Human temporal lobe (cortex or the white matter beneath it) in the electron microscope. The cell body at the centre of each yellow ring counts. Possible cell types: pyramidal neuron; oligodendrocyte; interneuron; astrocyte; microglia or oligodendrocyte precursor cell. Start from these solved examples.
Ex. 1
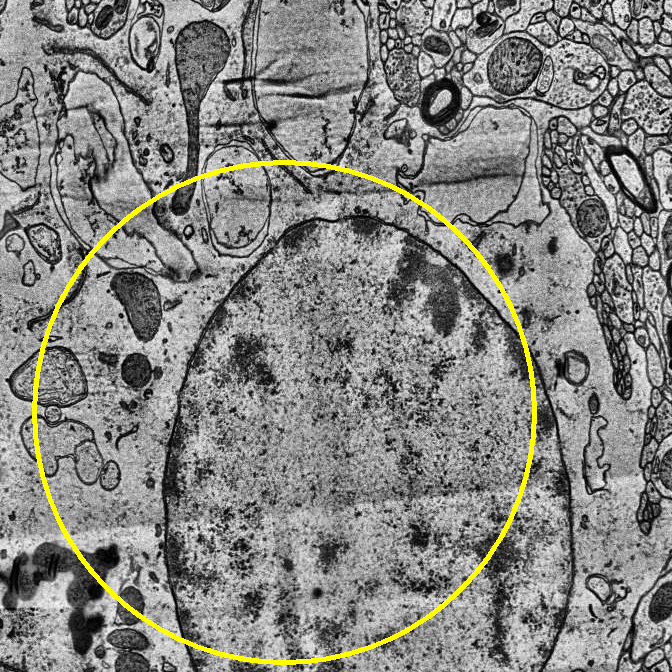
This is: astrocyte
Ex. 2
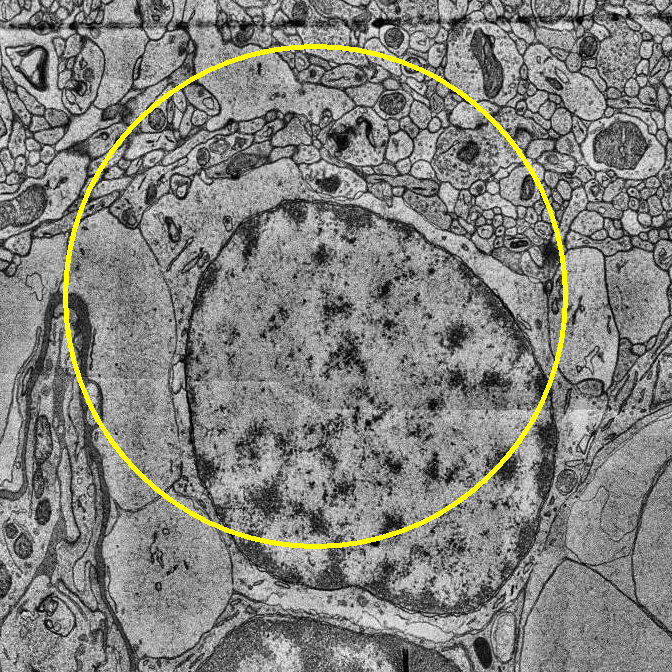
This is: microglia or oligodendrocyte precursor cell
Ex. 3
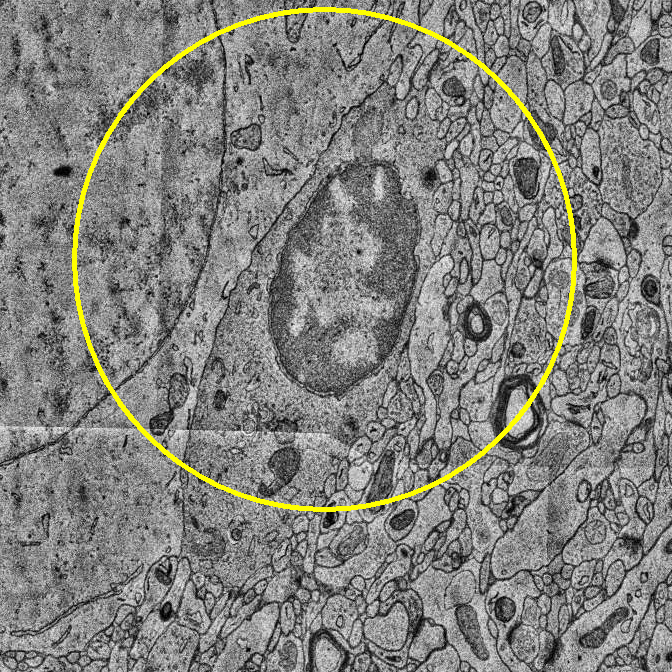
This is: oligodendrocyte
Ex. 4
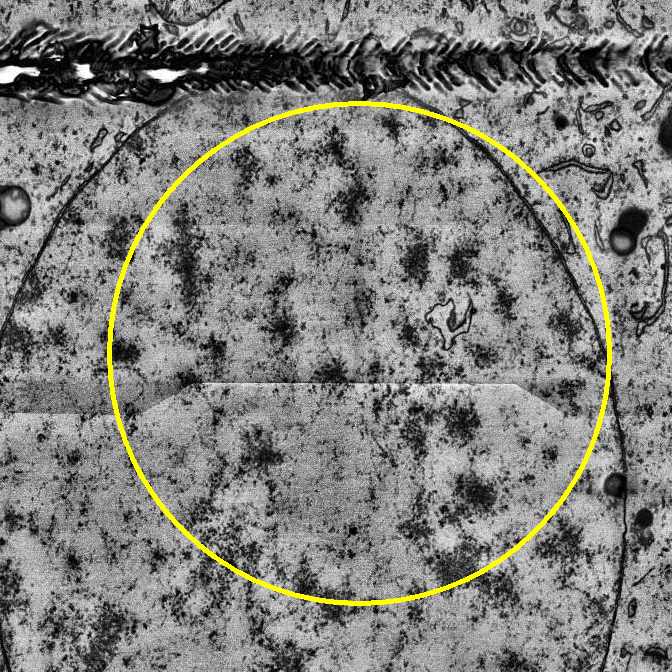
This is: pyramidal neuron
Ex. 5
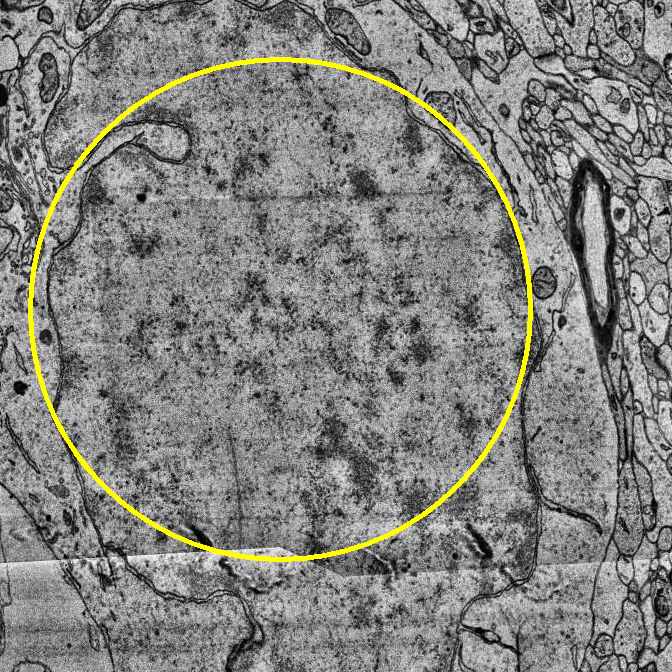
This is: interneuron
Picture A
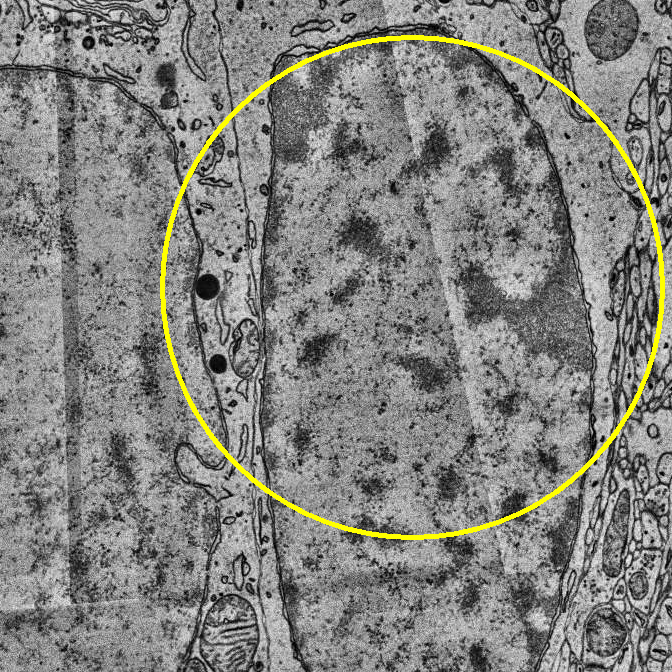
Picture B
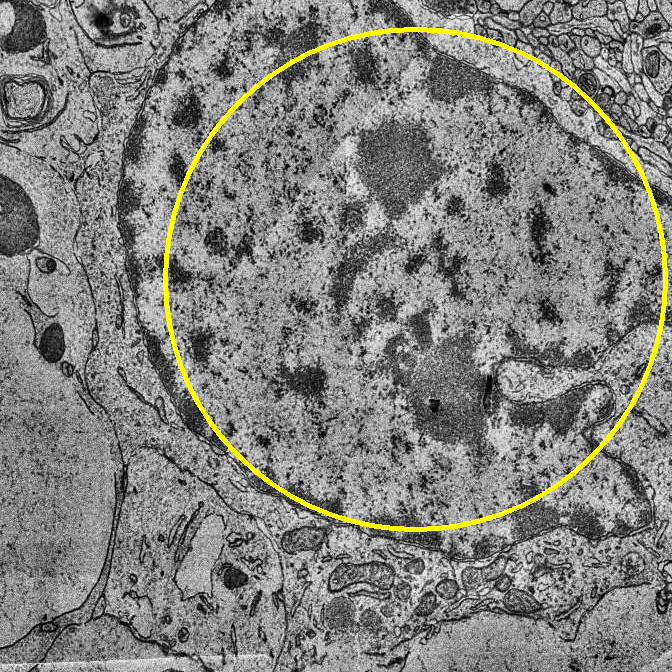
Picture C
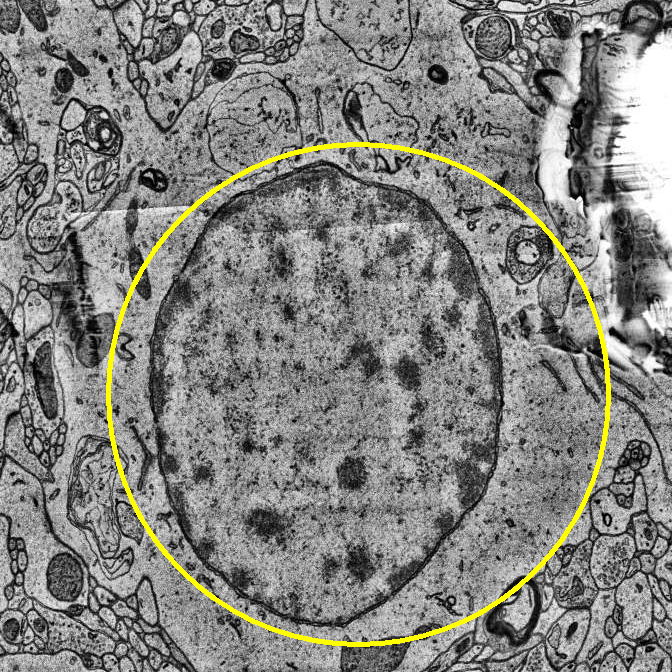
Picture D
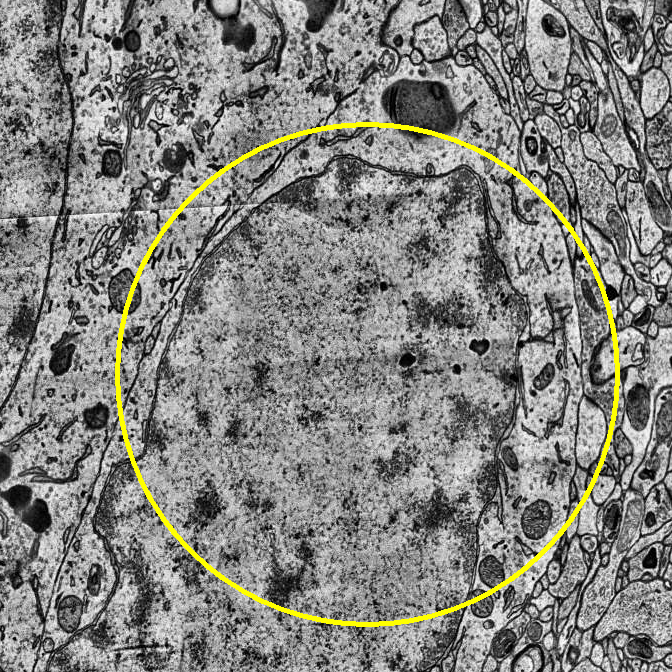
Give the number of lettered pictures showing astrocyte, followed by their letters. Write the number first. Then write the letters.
1, namely C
